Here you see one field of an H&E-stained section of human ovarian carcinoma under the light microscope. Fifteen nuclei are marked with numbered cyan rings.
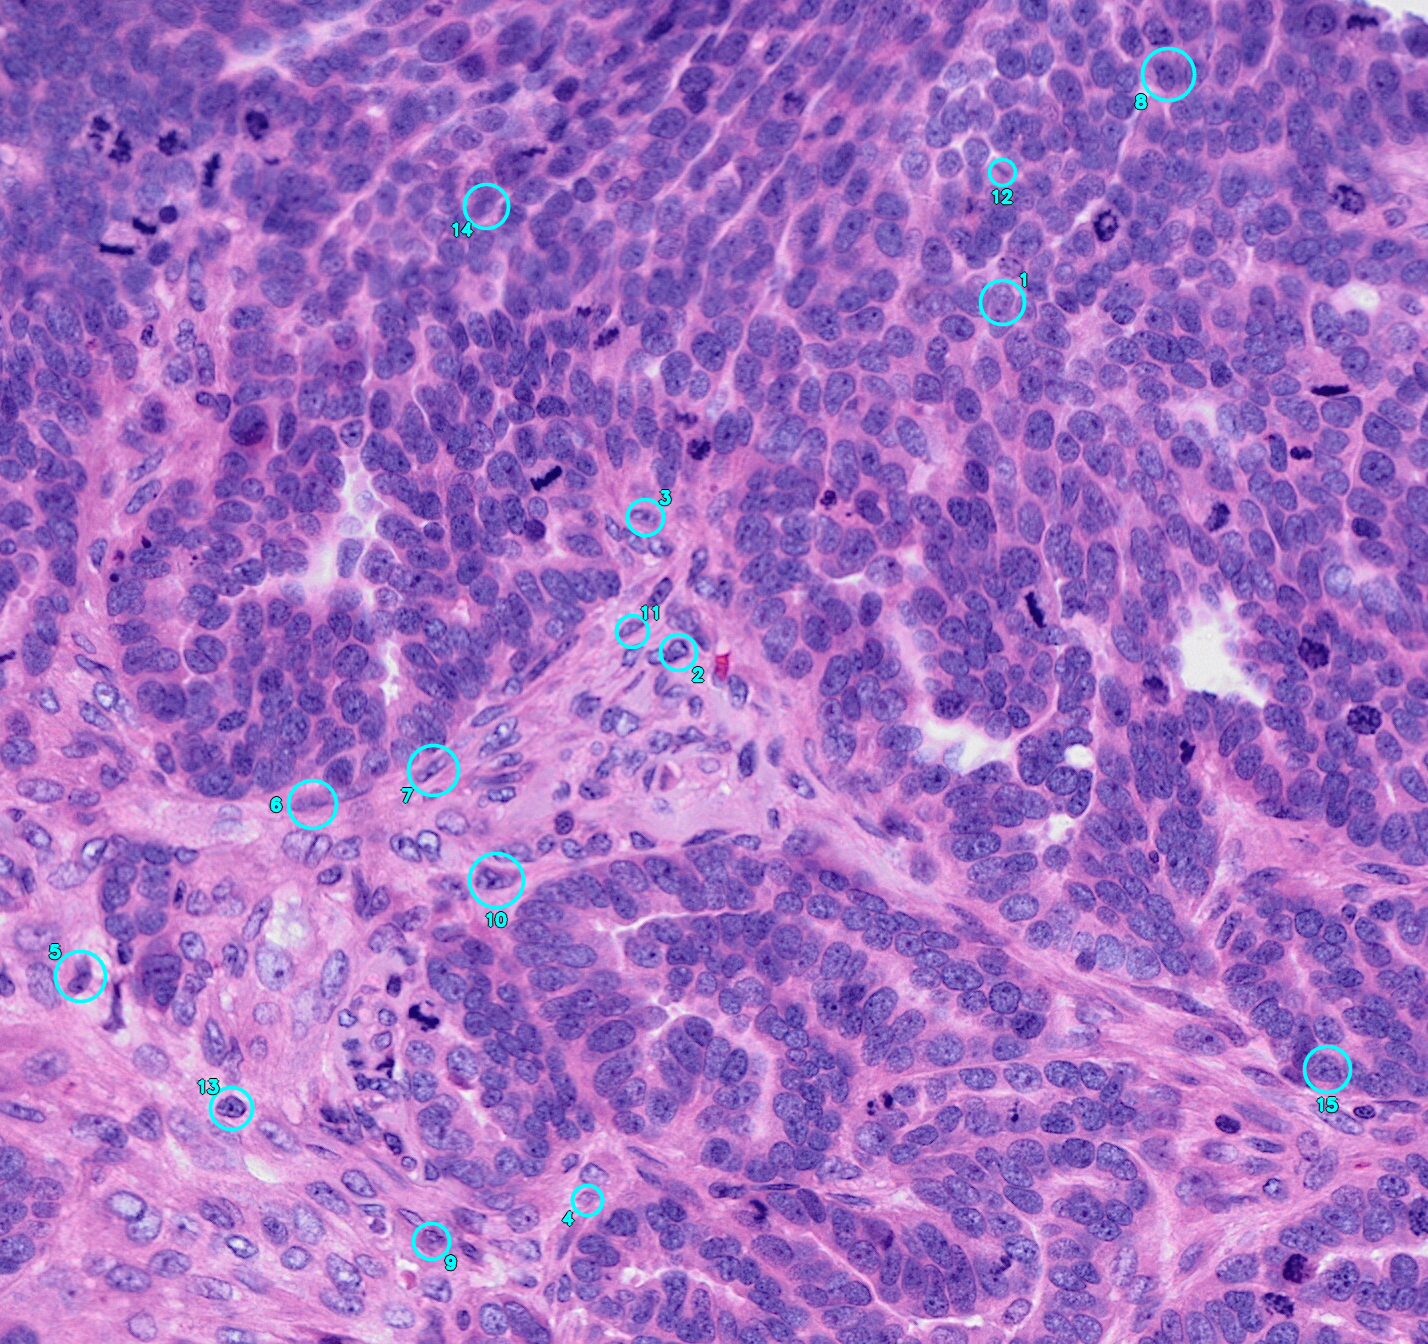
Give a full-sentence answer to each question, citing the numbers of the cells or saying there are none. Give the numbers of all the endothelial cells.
The numbers 2 and 9 mark cells that are endothelial cells.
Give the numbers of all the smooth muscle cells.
To be brief, no numbered cell here counts among the smooth muscle cells.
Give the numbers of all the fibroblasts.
Here, the cells that carry numbers 3, 4, 6, 7, 10 and 11 are fibroblasts.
